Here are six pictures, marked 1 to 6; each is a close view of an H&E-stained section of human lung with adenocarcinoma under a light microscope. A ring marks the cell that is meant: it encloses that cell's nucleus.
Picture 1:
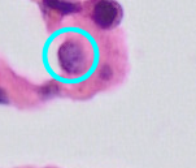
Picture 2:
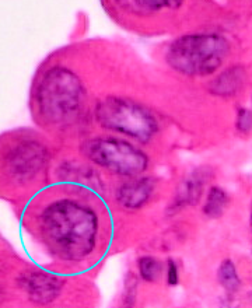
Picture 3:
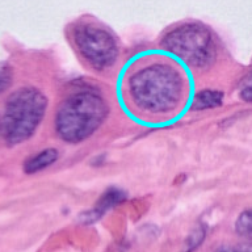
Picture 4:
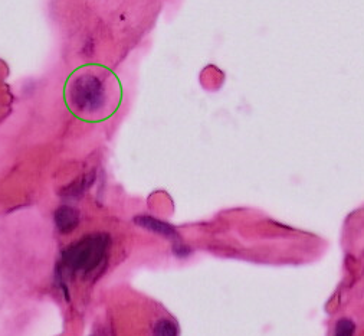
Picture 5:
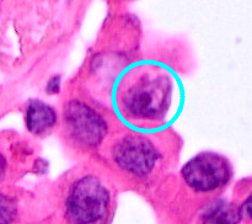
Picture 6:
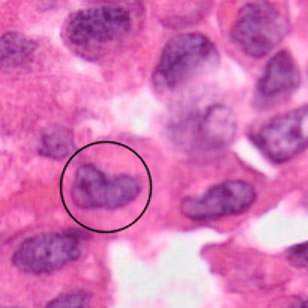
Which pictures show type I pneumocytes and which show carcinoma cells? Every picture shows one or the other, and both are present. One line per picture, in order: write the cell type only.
type I pneumocyte
carcinoma cell
carcinoma cell
type I pneumocyte
carcinoma cell
carcinoma cell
